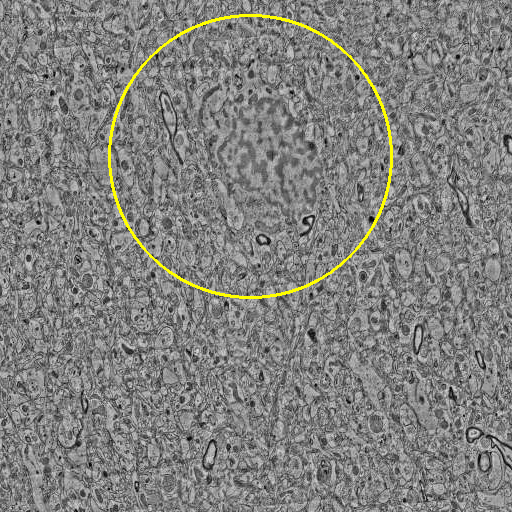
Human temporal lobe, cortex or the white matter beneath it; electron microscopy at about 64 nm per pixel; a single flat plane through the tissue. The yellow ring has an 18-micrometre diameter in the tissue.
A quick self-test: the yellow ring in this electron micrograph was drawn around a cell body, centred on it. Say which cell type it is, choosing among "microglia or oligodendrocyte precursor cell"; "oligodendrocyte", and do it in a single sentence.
The yellow-ringed cell is an oligodendrocyte.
